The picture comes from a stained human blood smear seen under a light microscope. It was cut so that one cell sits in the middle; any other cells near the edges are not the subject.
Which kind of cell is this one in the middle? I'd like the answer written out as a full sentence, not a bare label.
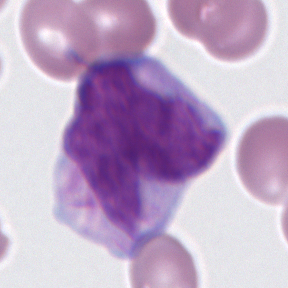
The middle of this crop is occupied by an atypical promyelocyte.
